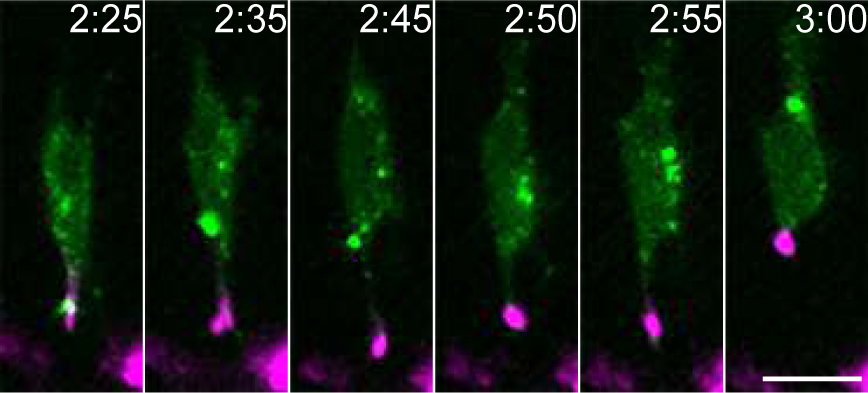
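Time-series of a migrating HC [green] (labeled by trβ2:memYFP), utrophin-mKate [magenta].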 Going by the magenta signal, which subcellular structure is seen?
Uropod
